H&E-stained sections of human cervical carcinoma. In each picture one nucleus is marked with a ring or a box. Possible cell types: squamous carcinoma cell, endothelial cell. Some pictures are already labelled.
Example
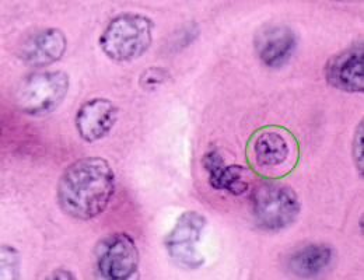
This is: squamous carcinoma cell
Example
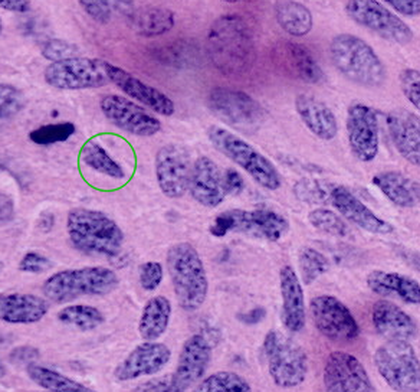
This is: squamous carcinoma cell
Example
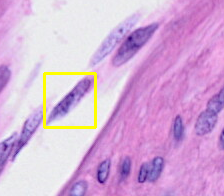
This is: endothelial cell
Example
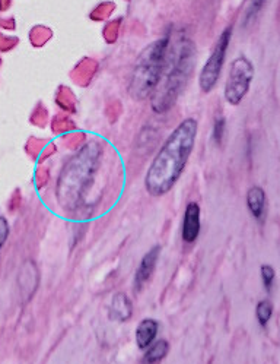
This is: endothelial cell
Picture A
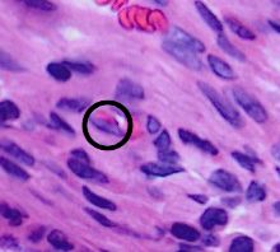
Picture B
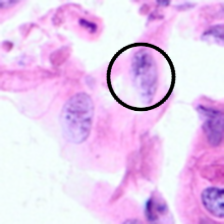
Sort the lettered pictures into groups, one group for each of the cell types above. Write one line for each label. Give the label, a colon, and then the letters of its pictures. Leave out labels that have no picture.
squamous carcinoma cell: B
endothelial cell: A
